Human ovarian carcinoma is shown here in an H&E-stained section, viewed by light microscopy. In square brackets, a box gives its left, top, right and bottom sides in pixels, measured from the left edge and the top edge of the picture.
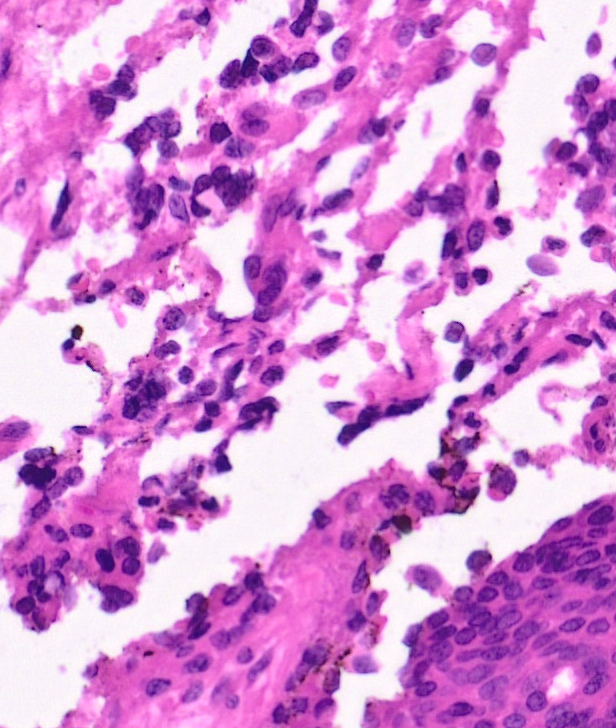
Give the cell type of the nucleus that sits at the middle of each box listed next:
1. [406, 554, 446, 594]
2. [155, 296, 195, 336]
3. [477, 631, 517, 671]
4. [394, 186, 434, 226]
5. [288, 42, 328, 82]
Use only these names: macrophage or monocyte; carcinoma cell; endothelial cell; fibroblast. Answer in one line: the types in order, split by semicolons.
carcinoma cell; macrophage or monocyte; carcinoma cell; macrophage or monocyte; carcinoma cell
